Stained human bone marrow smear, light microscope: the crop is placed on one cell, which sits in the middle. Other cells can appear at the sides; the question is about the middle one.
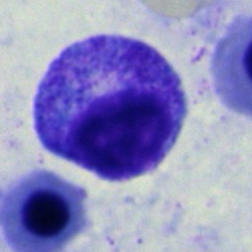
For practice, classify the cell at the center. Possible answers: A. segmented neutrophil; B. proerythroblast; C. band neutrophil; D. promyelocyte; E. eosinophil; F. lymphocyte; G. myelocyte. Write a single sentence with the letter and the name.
The central cell in this crop is a myelocyte, so the correct choice is option G.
